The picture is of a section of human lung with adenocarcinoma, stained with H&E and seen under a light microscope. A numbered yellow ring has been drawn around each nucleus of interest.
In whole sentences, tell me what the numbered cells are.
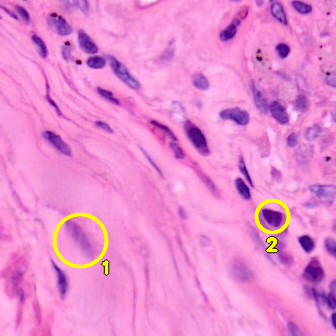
Cell 1 is a fibroblast. Cell 2 is a plasma cell.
